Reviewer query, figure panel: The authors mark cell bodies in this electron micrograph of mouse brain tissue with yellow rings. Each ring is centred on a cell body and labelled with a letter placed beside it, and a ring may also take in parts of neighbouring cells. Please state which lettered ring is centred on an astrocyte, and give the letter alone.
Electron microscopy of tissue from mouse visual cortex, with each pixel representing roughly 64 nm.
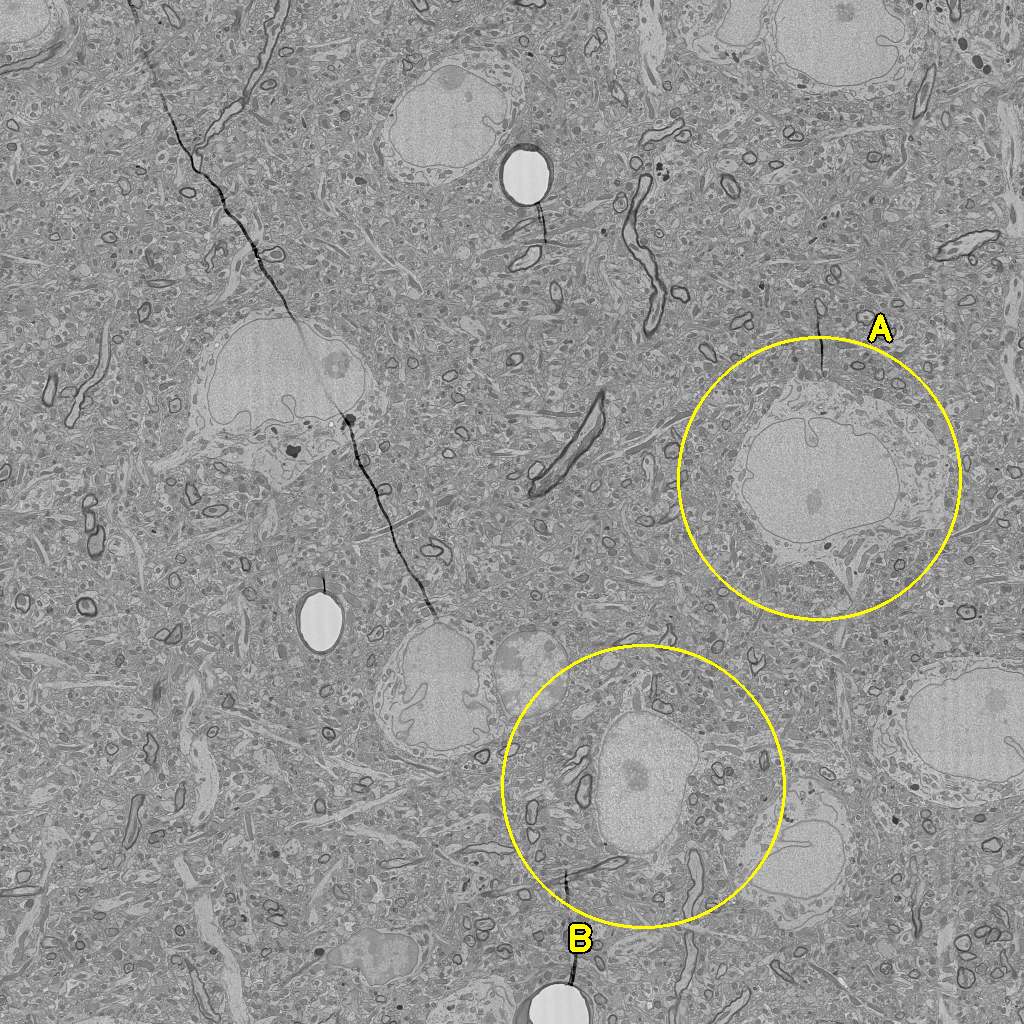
B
